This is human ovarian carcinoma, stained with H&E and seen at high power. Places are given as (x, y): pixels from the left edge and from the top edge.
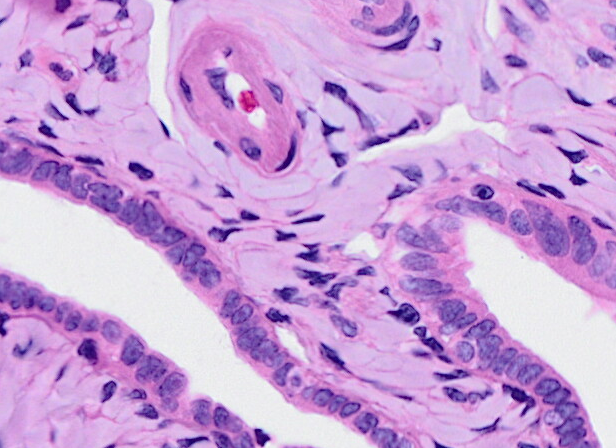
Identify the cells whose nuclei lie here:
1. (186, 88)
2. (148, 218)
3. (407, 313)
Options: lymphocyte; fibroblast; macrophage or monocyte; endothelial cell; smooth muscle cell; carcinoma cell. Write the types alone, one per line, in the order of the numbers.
smooth muscle cell
carcinoma cell
lymphocyte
